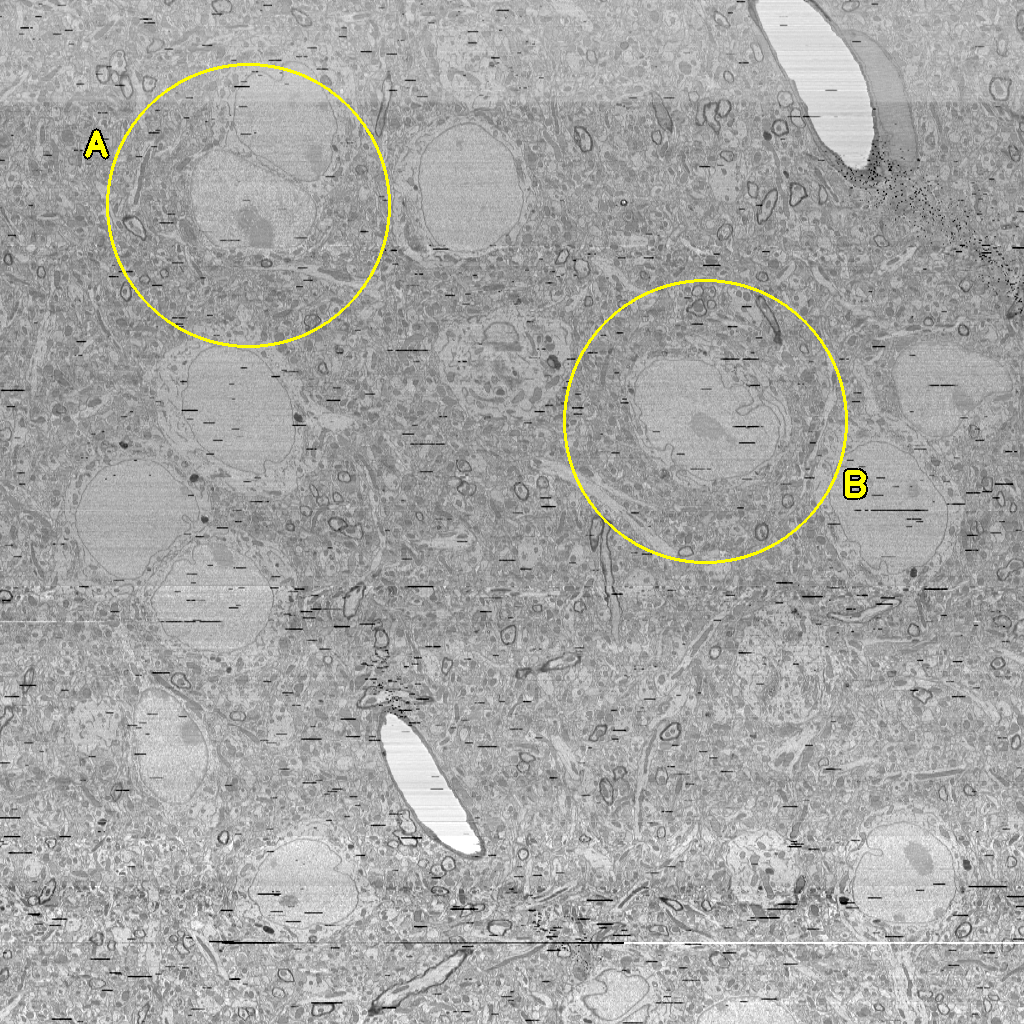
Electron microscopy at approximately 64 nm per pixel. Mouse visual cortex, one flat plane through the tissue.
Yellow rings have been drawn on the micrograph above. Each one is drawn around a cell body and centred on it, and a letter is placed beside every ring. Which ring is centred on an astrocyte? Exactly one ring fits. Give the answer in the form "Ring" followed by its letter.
Ring A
